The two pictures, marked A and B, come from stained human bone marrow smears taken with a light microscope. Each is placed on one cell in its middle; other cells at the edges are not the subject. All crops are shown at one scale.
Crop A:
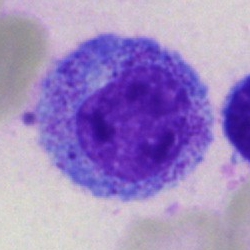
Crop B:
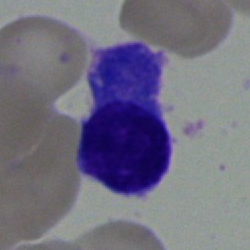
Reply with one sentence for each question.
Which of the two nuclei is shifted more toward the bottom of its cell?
In crop B the nucleus is shifted more toward the bottom.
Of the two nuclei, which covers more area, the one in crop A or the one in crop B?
Crop A shows the larger nucleus; it covers about 1.5 times the area of the nucleus in crop B.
